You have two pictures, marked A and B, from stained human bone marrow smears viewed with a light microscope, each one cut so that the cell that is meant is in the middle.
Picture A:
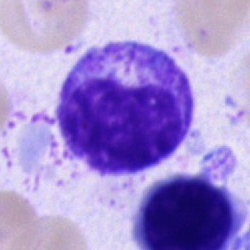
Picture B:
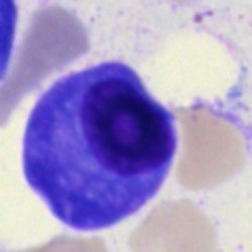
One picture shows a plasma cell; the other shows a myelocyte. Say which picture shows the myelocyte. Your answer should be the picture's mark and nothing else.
A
